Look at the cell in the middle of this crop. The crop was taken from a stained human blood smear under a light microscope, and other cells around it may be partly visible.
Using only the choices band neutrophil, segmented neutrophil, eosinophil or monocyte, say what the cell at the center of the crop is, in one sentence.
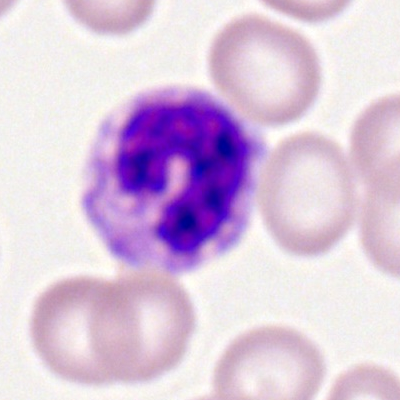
Positioned in the middle of the crop is a band neutrophil.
